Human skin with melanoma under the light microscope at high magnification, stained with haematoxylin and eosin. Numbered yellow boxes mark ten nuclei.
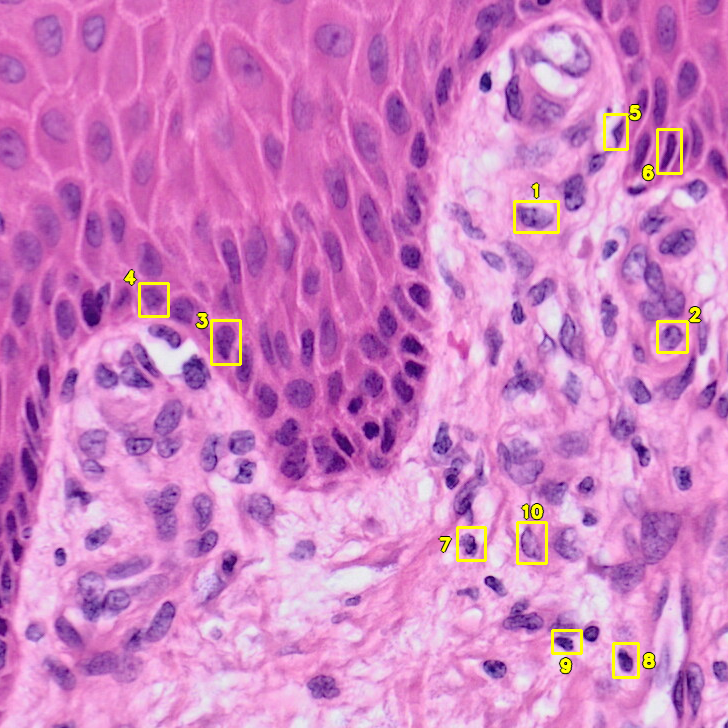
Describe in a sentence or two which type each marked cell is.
Cells 1, 2 and 10 are endothelial cells. Cells 3, 4 and 6 are keratinocytes. Cell 5 is a fibroblast or myofibroblast. Cells 7, 8 and 9 are lymphocytes.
